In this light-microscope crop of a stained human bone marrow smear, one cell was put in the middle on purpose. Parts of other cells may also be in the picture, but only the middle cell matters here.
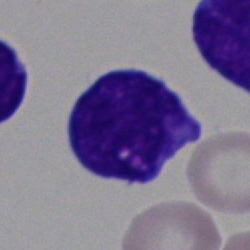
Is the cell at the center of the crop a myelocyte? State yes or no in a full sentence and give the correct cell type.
No, the cell positioned in the middle is a blast, not a myelocyte.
